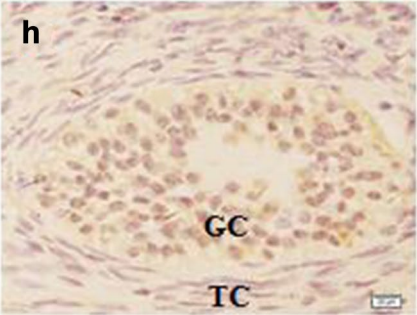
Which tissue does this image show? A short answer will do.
small follicle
